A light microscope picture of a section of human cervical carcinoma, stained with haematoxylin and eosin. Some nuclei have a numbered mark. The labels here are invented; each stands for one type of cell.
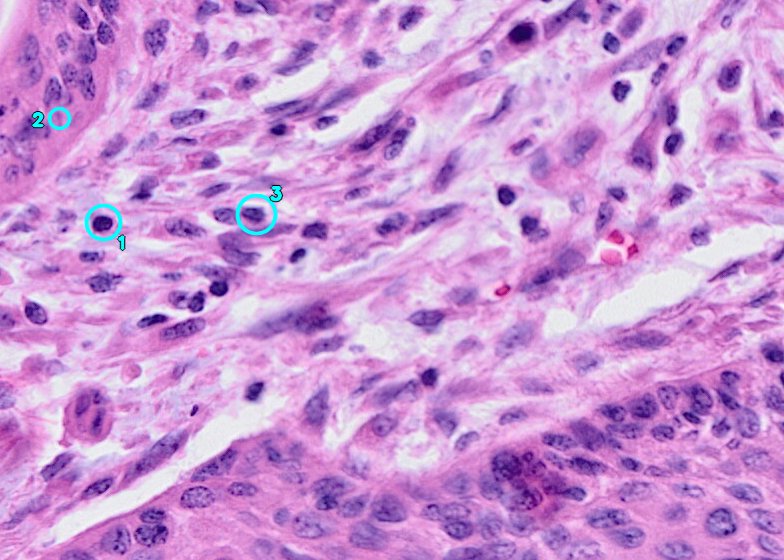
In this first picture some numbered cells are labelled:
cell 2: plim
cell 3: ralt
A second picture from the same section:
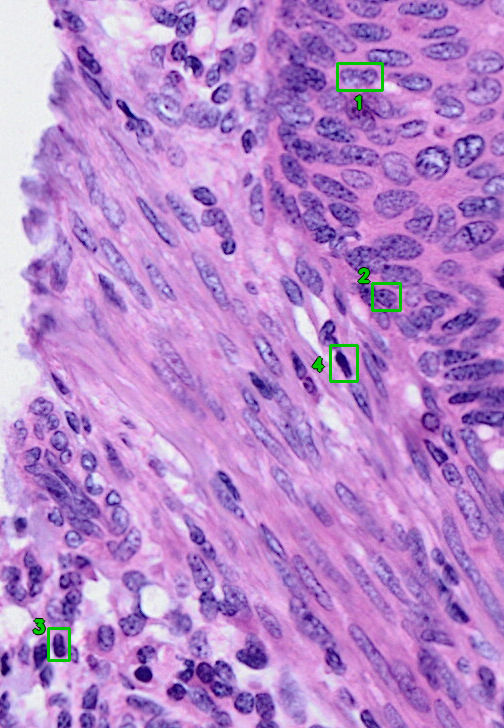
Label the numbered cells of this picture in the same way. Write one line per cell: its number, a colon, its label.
1: plim
2: plim
3: ralt
4: ralt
